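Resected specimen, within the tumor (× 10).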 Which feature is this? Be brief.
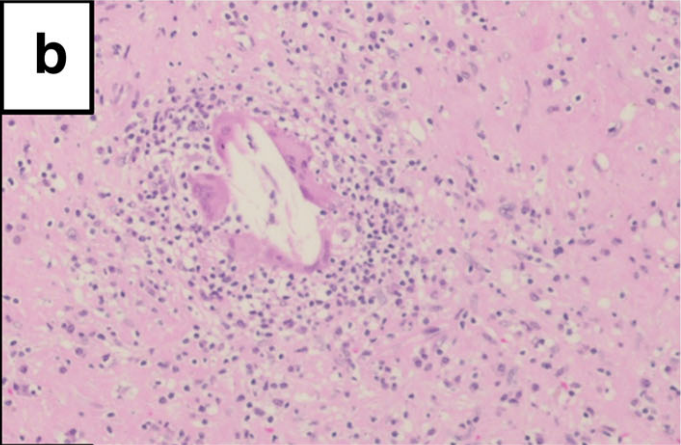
cholesterin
